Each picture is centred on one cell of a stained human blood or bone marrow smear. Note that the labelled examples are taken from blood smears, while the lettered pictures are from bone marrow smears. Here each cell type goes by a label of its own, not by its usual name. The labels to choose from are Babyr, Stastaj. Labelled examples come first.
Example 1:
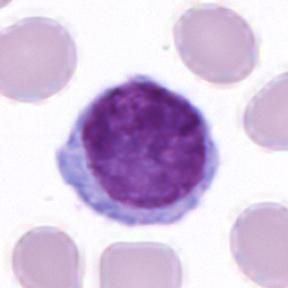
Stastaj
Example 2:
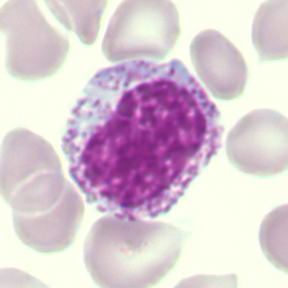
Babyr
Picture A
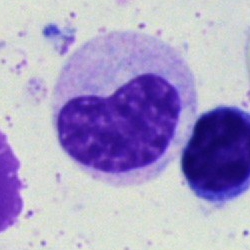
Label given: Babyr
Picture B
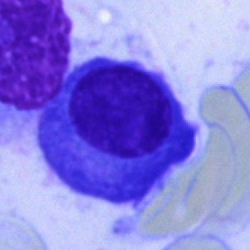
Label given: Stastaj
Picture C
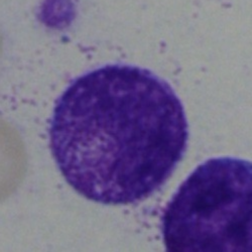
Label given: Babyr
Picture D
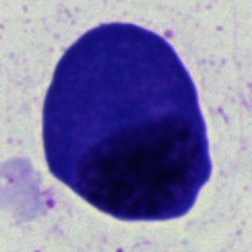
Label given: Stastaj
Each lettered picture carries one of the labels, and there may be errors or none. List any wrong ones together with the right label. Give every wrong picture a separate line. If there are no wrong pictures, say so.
Every label is right.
